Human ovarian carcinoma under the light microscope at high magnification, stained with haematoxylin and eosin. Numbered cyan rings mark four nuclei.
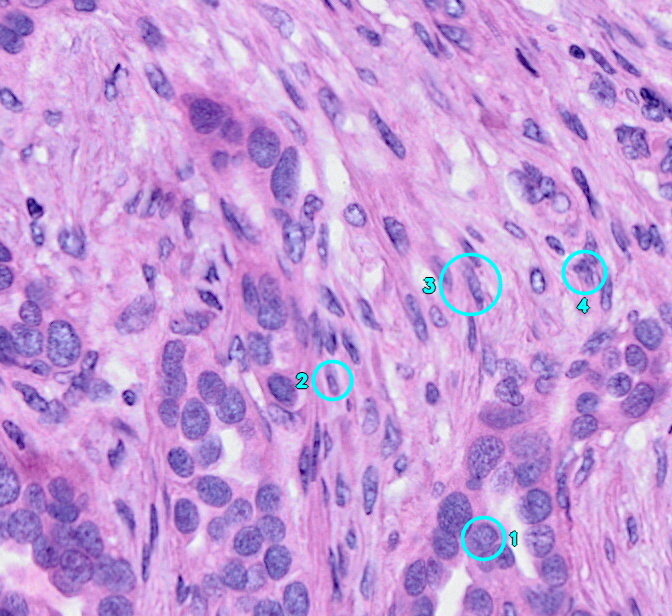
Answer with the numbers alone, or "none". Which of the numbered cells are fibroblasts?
2, 3, 4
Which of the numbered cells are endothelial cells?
none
